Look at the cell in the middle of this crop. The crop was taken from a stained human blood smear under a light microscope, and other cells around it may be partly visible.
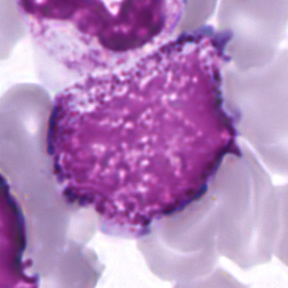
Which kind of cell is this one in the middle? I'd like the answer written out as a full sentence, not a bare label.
The cell at the middle of the frame should be recorded as a myelocyte.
